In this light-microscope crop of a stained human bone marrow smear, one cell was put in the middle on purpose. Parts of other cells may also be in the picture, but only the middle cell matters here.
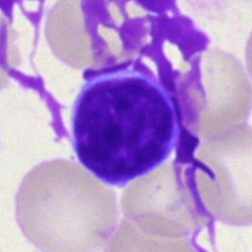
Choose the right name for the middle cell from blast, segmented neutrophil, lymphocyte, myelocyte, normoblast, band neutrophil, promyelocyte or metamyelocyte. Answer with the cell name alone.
lymphocyte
